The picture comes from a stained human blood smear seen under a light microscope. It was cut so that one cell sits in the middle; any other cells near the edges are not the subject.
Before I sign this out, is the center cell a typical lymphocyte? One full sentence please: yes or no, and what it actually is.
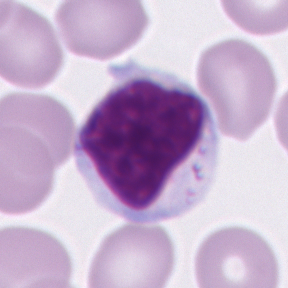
No, the centre of the crop contains a large granular lymphocyte rather than a typical lymphocyte.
